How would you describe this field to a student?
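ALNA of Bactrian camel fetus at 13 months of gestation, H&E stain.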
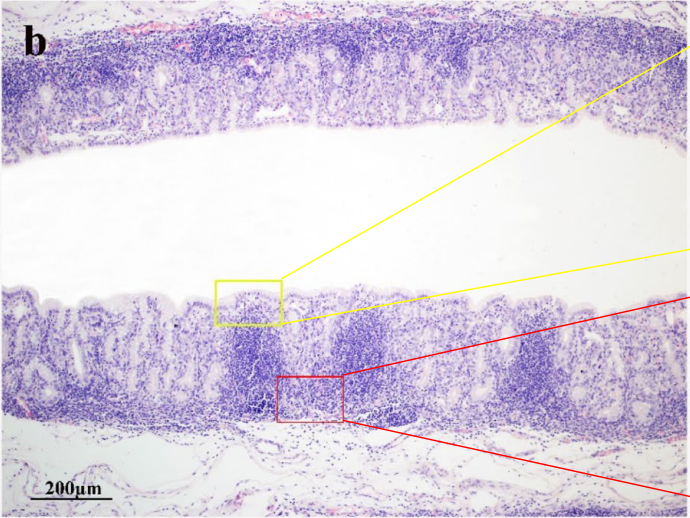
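Low-power section of a mucosal wall lining a wide central lumen, with dense lymphoid follicles in the mucosa. The follicles are dark purple masses of tightly packed small round nuclei, spaced along the lower wall and reaching up under the surface epithelium. A thin pale epithelial layer lines the luminal surface, and tubular glands with small open lumina run through the paler lamina propria between the follicles. Below the mucosa lies loose, pale connective tissue with scattered small vessels. The upper wall shows a similar but more diffuse band of lymphoid cells beneath the glands.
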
